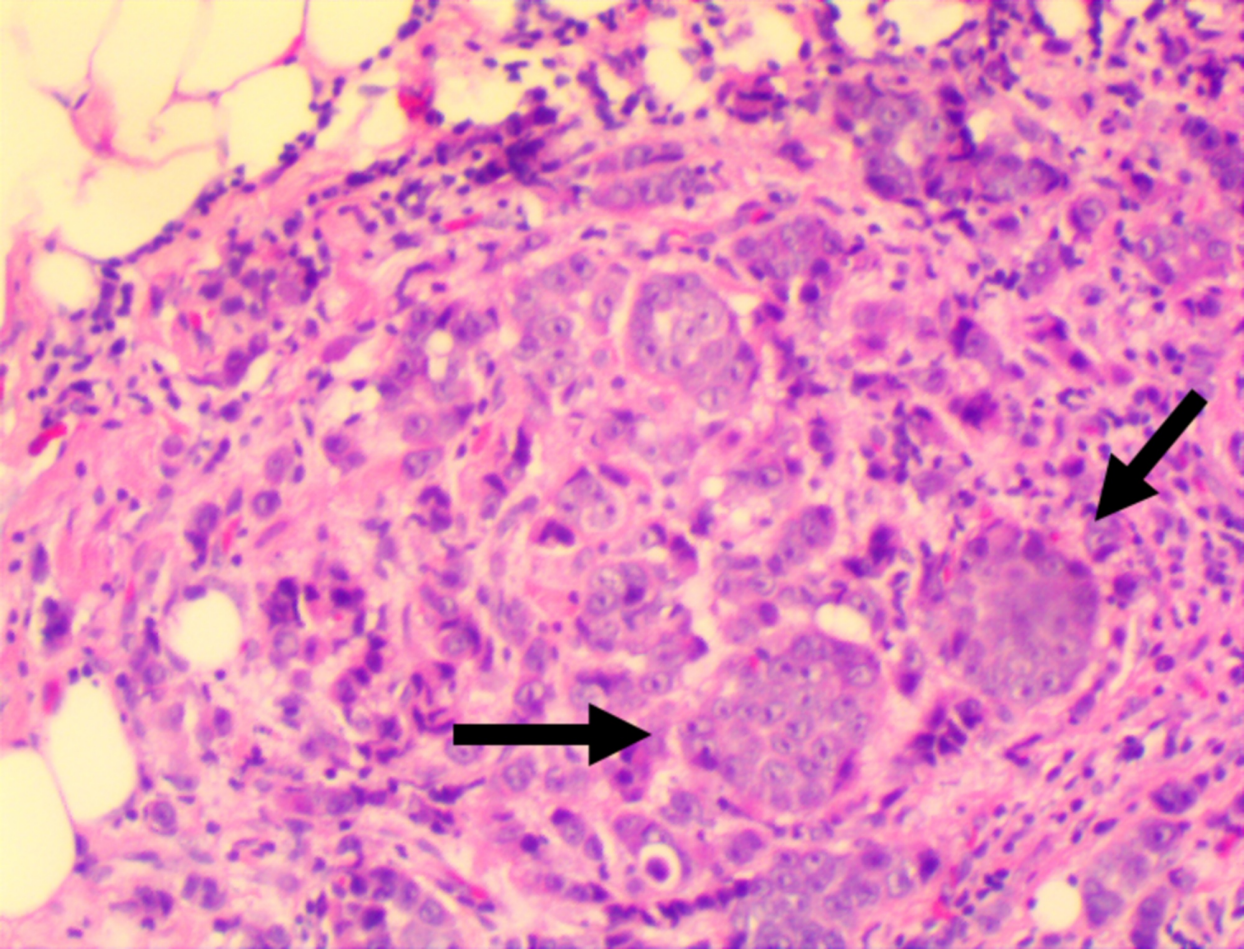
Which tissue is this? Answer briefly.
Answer: fibroadipose tissue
